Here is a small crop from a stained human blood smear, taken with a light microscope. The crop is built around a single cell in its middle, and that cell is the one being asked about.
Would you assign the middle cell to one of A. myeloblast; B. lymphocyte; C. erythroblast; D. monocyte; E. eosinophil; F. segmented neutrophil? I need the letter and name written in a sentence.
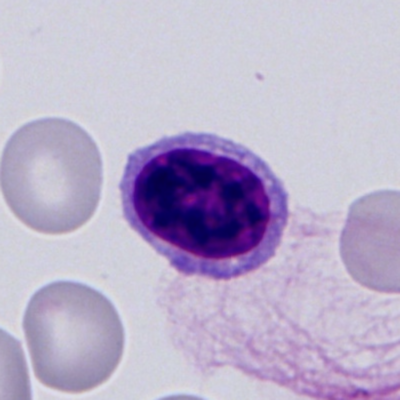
The correct option, B, names the middle cell as a lymphocyte.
